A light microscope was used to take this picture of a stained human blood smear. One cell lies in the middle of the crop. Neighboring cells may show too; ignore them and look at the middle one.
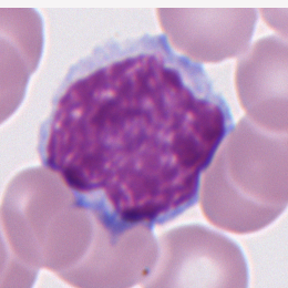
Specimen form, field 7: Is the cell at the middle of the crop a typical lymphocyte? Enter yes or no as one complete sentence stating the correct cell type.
Yes, the middle cell is classified as a typical lymphocyte.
